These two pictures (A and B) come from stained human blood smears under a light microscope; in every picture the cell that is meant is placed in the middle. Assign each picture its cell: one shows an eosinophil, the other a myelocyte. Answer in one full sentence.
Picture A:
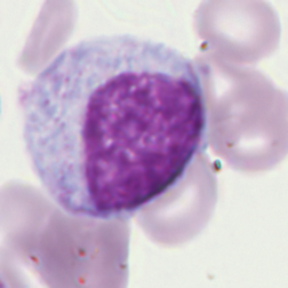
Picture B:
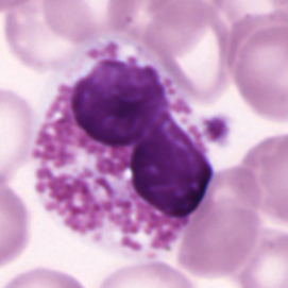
Picture A is of a myelocyte, and picture B is of an eosinophil.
